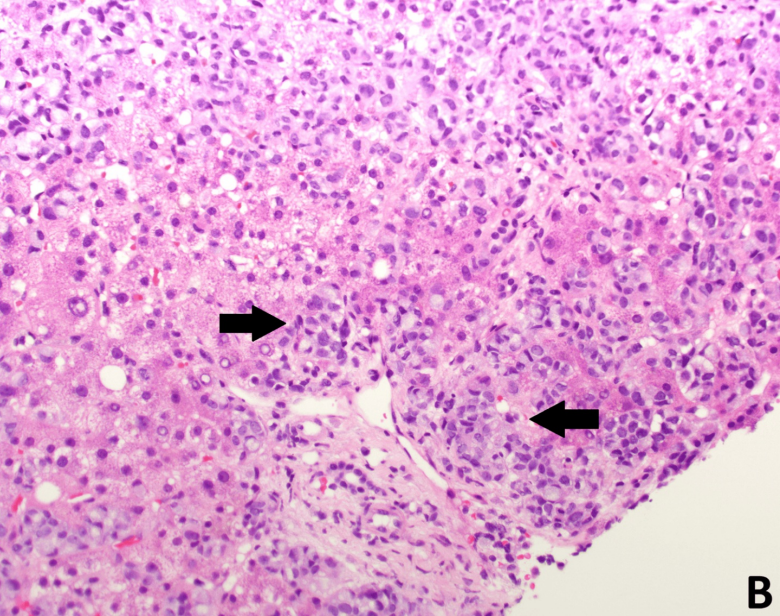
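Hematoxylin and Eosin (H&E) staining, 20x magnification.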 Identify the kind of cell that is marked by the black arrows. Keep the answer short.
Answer: Tumor cells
